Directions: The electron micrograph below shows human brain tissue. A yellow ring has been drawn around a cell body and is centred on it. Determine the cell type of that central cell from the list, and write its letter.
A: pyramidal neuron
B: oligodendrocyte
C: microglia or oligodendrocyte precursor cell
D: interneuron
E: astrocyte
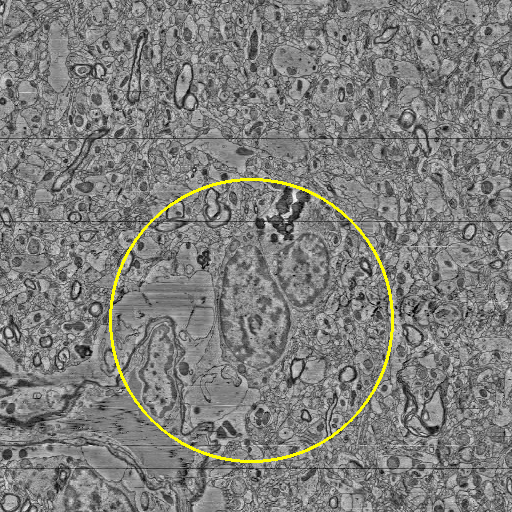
B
